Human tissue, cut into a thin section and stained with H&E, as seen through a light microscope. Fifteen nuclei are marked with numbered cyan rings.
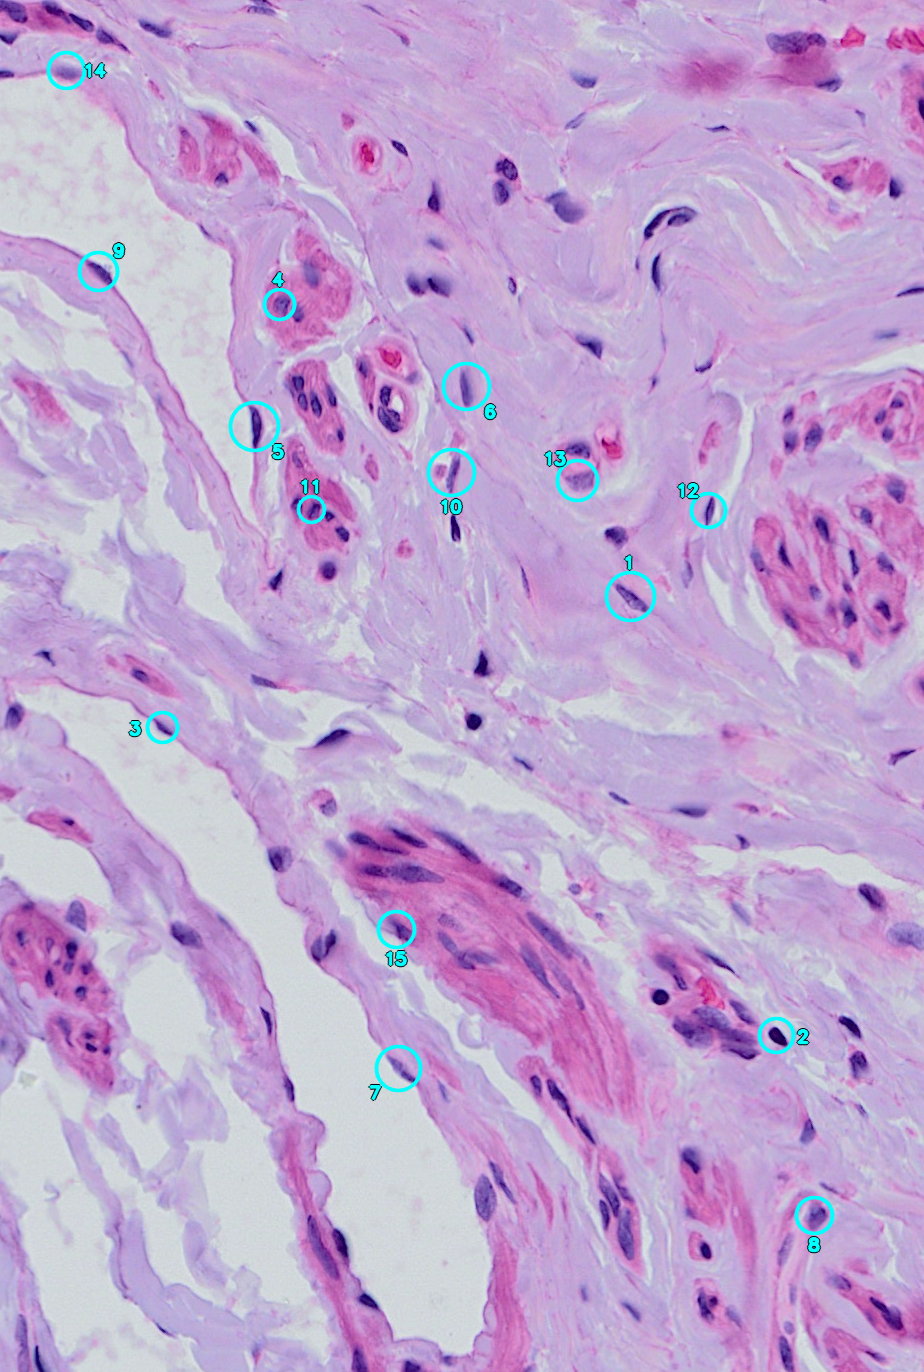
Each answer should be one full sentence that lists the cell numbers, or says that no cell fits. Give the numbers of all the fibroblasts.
The numbers 1, 6, 10 and 12 in this section indicate fibroblasts.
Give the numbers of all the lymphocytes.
Within the set of numbered cells, only number 2 is a lymphocyte.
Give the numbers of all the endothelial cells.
The cells referred to by numbers 3, 5, 7, 8, 9, 13 and 14 are endothelial cells.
